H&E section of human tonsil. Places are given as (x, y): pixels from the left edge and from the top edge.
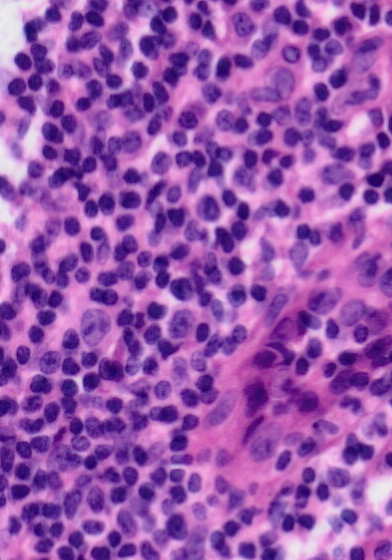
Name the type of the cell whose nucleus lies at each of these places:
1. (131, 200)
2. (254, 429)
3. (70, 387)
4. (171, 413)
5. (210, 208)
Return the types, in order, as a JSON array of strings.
["small lymphocyte", "endothelial cell", "small lymphocyte", "small lymphocyte", "proliferating B cell"]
